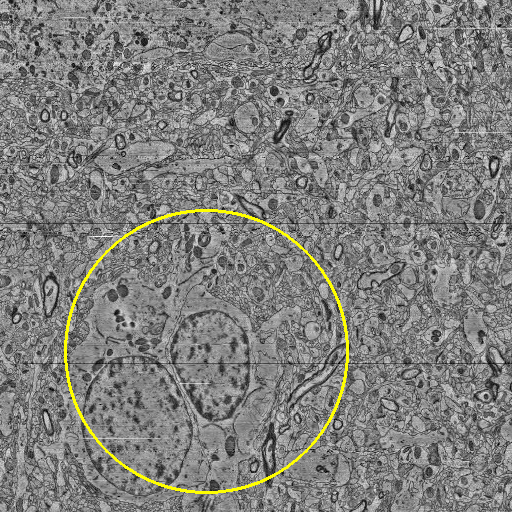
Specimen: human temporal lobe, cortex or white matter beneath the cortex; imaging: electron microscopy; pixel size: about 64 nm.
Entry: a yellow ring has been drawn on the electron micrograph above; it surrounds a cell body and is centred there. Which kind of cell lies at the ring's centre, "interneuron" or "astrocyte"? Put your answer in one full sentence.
The cell sitting at the ring's centre is an astrocyte in the micrograph above.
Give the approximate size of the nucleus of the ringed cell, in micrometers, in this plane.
The ringed cell's nucleus measures approximately 7 by 5 micrometres in this plane.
